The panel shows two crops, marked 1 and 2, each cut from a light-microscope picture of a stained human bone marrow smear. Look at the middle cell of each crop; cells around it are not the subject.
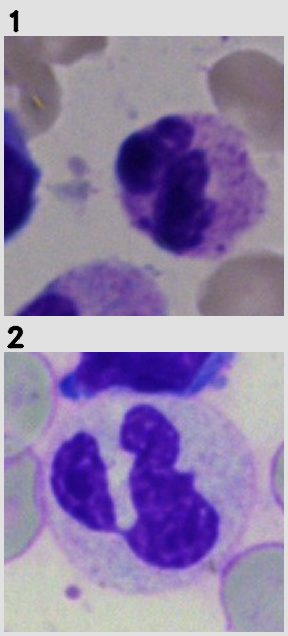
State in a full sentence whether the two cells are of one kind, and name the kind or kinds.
Yes, the cells in both crops are neutrophils.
